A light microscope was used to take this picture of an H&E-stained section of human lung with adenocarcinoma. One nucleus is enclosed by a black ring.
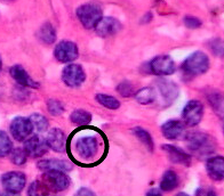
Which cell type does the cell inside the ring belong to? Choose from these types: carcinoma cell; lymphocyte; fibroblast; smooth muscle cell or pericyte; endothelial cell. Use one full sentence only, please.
It is a lymphocyte that the cell inside the ring represents.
